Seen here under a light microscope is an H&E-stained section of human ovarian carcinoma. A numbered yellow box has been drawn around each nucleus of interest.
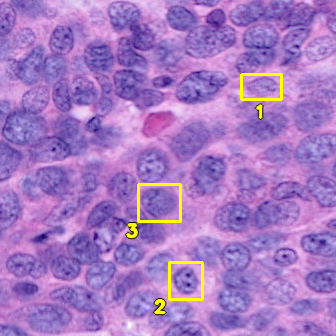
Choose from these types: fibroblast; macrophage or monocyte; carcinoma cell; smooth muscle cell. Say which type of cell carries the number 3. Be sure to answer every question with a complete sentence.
In the tissue shown, cell 3 is a carcinoma cell.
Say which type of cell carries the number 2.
The cell identified by number 2 is a macrophage or monocyte.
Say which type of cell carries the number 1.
Corresponding to a carcinoma cell is the cell labelled 1.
